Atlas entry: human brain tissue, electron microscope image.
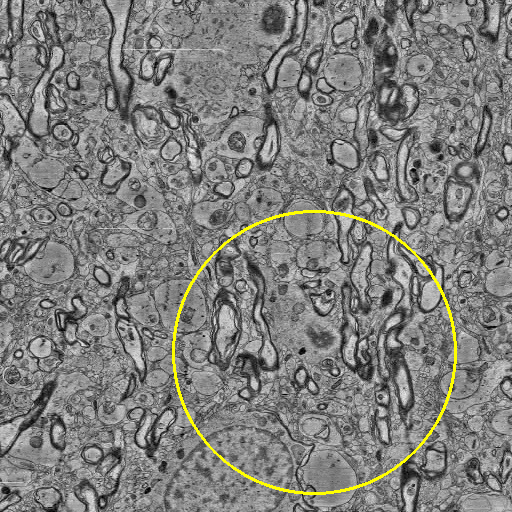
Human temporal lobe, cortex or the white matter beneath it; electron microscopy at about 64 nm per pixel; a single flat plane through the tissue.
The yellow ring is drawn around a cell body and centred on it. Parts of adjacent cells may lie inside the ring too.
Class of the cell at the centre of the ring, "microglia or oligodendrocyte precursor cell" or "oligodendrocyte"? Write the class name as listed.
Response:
oligodendrocyte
